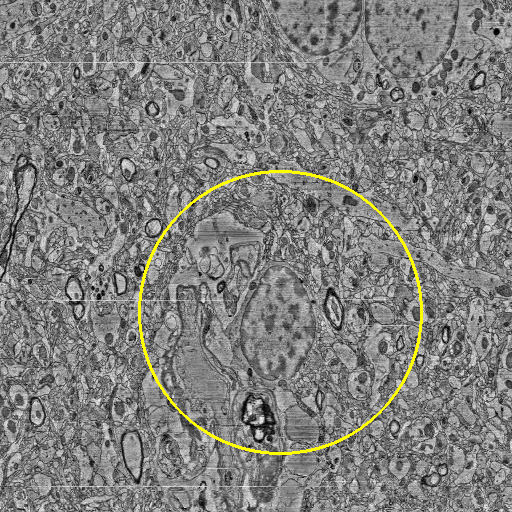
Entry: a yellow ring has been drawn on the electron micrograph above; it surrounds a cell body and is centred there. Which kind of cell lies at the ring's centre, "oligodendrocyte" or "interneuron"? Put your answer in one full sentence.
The cell sitting at the ring's centre is an oligodendrocyte in the micrograph above.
